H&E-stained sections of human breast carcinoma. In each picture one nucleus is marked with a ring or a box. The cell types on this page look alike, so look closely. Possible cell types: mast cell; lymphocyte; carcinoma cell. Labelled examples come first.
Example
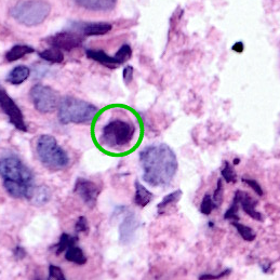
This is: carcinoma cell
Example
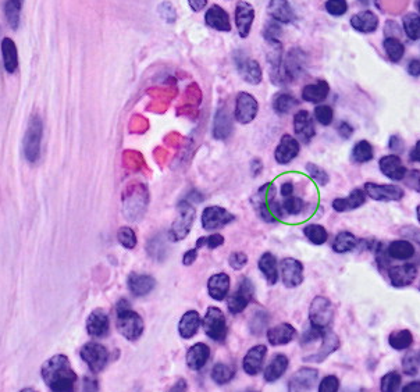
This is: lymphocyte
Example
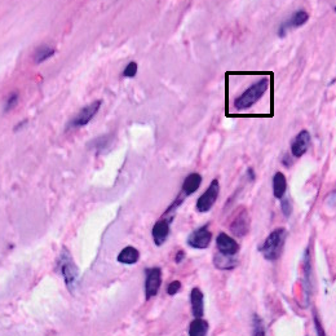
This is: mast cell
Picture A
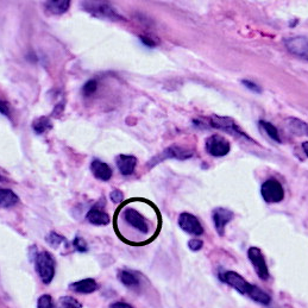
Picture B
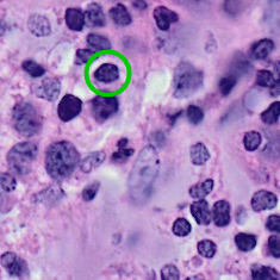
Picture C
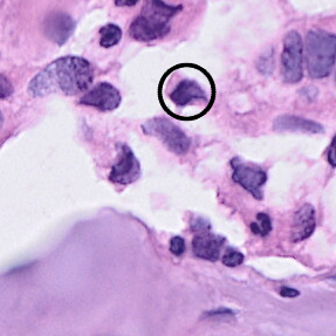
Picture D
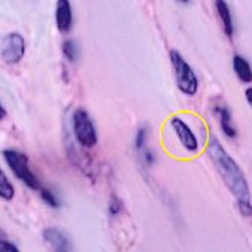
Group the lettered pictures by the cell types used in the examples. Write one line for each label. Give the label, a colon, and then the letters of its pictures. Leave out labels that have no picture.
lymphocyte: A, B, D
carcinoma cell: C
